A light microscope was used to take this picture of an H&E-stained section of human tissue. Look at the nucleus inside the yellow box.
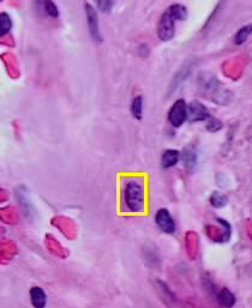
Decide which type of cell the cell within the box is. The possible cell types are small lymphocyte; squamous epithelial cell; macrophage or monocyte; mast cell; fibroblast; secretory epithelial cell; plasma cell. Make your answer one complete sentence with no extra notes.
In this preparation, the cell within the box is a mast cell.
